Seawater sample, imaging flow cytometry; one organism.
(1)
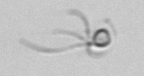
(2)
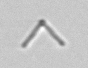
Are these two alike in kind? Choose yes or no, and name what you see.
No. First Ophiaster, second Nanoneis.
